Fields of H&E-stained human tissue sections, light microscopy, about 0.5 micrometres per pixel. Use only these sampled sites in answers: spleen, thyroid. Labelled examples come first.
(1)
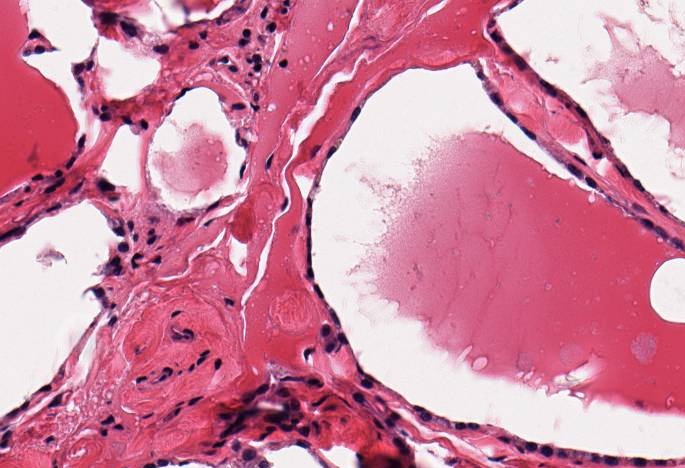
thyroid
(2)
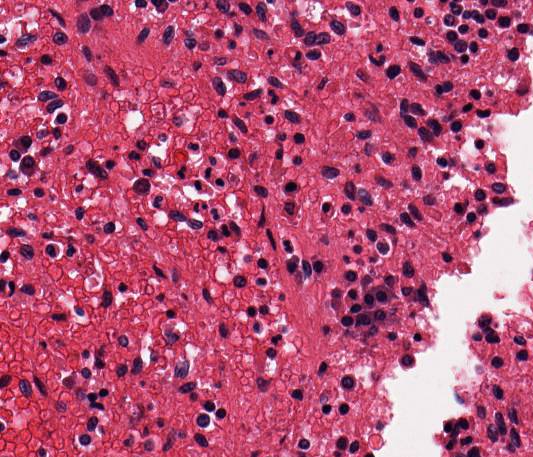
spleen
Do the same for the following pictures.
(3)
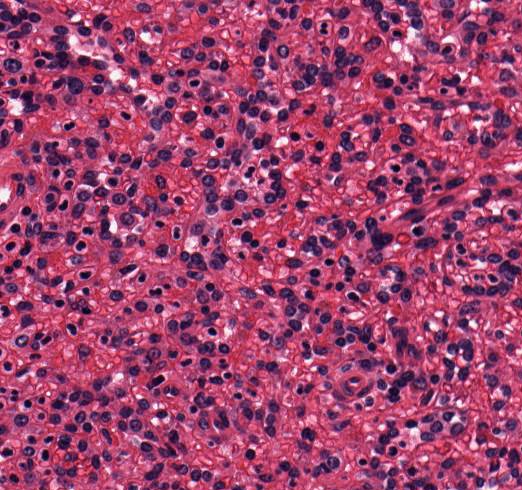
spleen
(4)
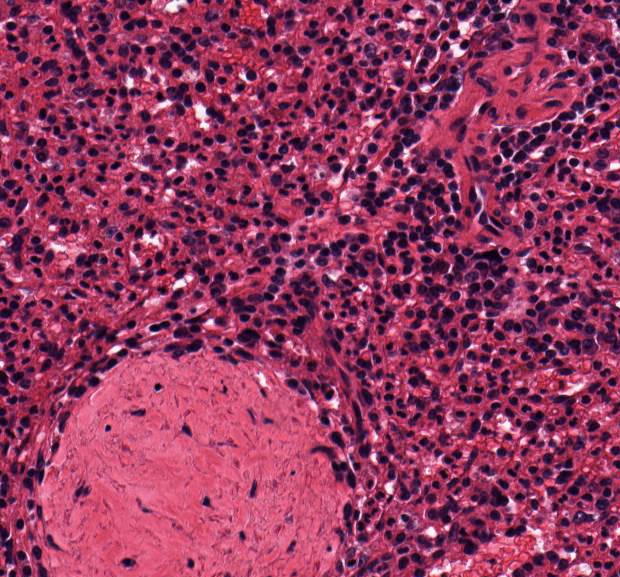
spleen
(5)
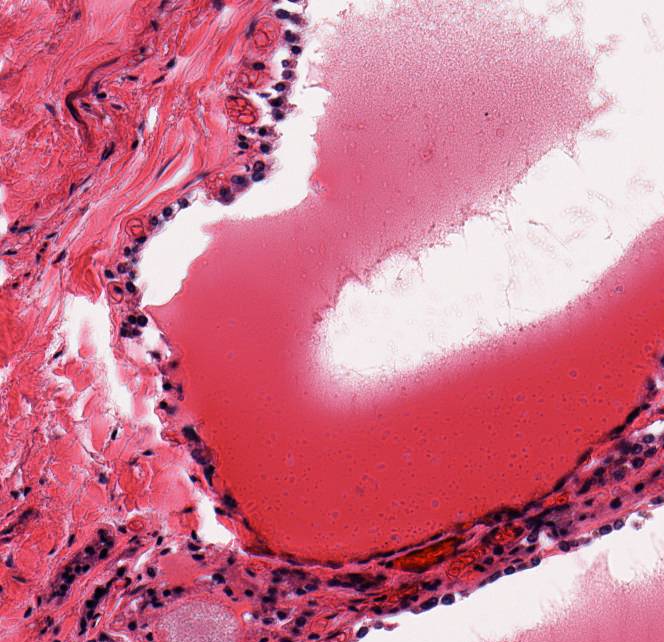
thyroid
